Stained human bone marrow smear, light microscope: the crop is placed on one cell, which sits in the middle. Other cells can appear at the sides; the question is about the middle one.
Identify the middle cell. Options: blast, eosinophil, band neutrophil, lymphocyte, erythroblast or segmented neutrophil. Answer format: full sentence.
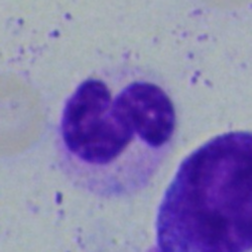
In short, the cell at the center is a segmented neutrophil.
